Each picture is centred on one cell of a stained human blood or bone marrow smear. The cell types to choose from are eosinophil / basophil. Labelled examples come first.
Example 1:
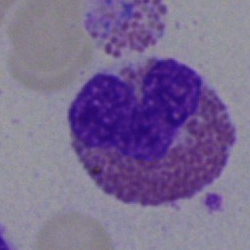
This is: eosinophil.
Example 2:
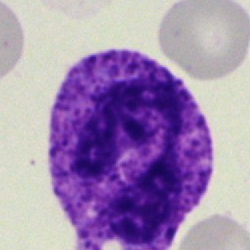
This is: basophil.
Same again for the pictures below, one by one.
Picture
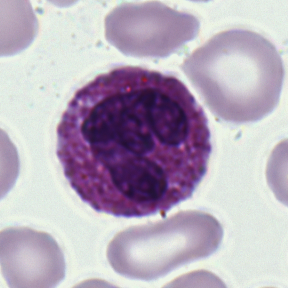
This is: eosinophil.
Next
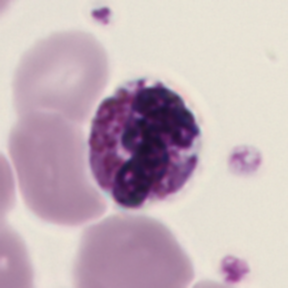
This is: eosinophil.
